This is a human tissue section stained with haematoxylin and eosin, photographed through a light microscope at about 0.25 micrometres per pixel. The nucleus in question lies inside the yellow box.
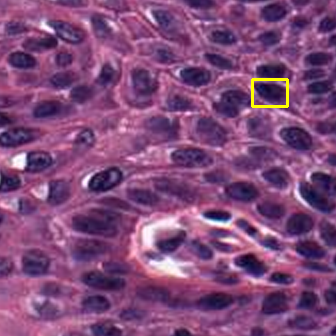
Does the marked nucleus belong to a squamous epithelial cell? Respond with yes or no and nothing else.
yes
